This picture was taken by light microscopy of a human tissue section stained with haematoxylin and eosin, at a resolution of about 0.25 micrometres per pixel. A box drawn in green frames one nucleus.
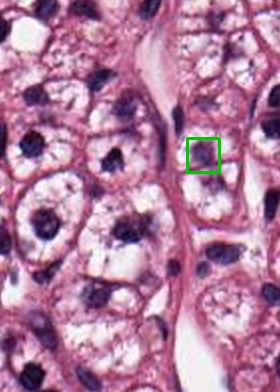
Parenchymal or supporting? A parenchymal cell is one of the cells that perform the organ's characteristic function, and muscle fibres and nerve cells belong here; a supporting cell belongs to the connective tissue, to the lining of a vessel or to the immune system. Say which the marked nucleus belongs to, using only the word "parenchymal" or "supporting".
parenchymal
